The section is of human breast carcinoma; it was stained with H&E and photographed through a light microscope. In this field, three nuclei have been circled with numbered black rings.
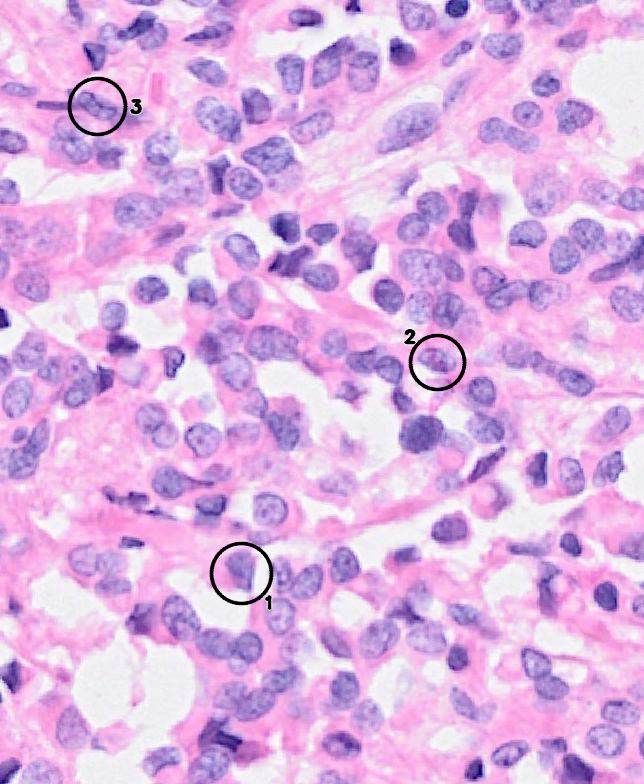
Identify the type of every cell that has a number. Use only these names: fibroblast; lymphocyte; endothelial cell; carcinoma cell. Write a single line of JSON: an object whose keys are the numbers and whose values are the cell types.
{"1": "carcinoma cell", "2": "carcinoma cell", "3": "endothelial cell"}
